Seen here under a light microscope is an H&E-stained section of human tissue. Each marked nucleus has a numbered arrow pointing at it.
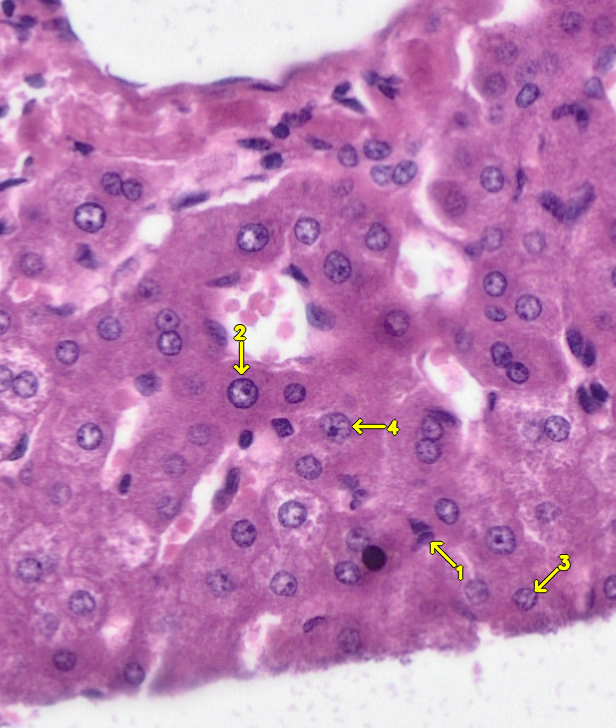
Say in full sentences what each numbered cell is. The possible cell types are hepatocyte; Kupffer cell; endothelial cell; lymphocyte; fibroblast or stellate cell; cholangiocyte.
Cell 1 is a fibroblast or stellate cell, cell 2 is a hepatocyte, cell 3 is a hepatocyte and cell 4 is a hepatocyte.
